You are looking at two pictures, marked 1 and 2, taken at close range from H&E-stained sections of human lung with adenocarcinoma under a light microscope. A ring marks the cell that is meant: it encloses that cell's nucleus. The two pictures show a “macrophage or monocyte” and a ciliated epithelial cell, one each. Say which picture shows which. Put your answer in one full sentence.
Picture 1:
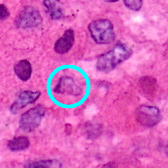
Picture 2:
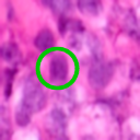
The cell in picture 1 is a “macrophage or monocyte”, and the one in picture 2 is a ciliated epithelial cell.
